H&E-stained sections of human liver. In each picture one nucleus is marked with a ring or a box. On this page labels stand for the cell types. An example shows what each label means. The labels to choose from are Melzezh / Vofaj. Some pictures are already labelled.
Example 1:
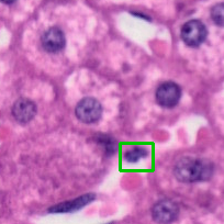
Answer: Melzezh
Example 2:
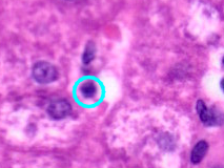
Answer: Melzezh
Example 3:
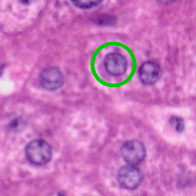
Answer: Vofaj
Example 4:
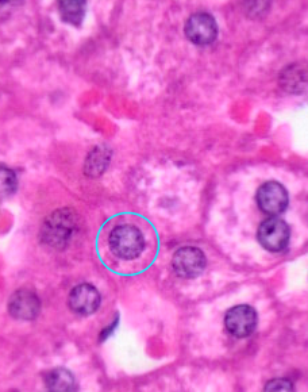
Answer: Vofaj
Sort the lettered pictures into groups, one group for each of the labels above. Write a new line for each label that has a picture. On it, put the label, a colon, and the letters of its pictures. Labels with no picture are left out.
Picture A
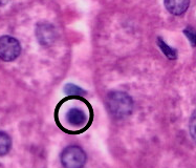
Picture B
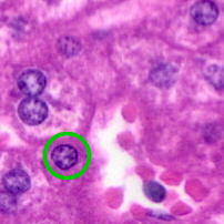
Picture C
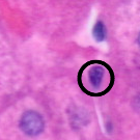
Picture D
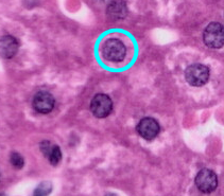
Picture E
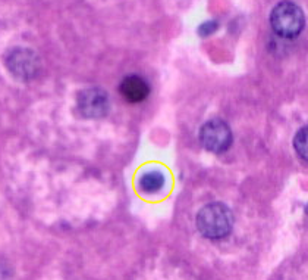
Melzezh: A, C, E
Vofaj: B, D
